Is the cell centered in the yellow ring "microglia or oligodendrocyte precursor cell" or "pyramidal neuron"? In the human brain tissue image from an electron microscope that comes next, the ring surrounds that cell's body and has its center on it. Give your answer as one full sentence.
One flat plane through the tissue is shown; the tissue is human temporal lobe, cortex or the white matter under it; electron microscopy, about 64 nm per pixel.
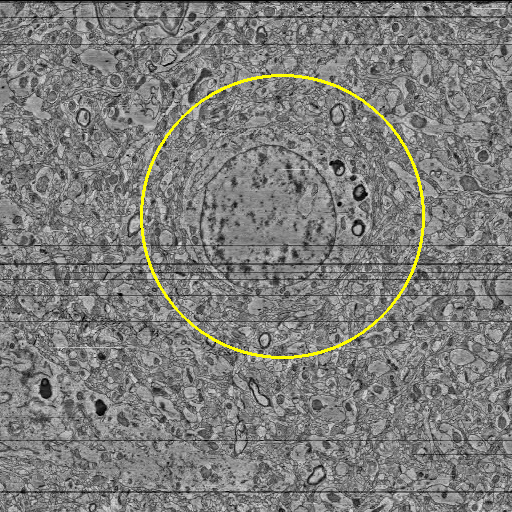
The cell at the center of the yellow ring is a pyramidal neuron in the micrograph.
